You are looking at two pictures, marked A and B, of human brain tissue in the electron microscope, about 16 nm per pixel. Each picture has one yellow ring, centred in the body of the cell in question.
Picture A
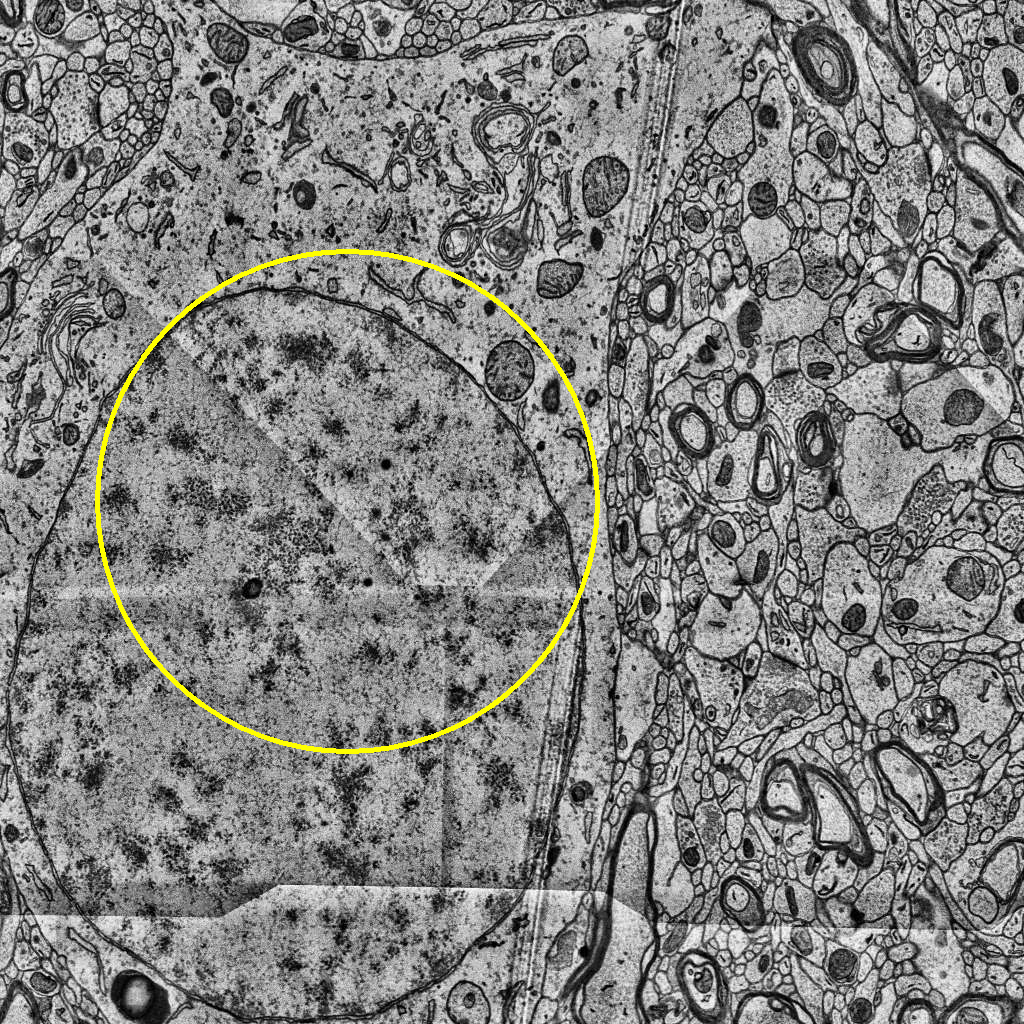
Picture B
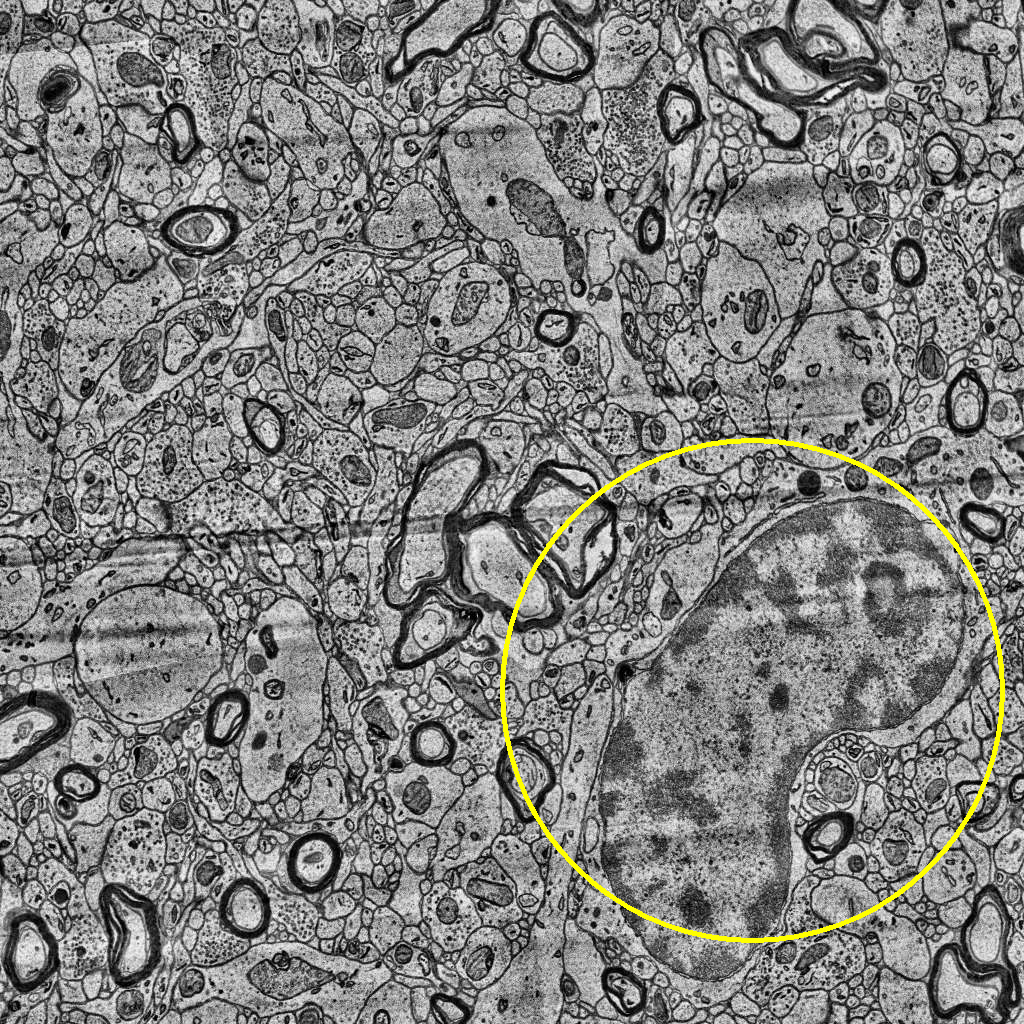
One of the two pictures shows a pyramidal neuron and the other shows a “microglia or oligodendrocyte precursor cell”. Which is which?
In picture A the cell is a pyramidal neuron; in picture B, a “microglia or oligodendrocyte precursor cell”.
